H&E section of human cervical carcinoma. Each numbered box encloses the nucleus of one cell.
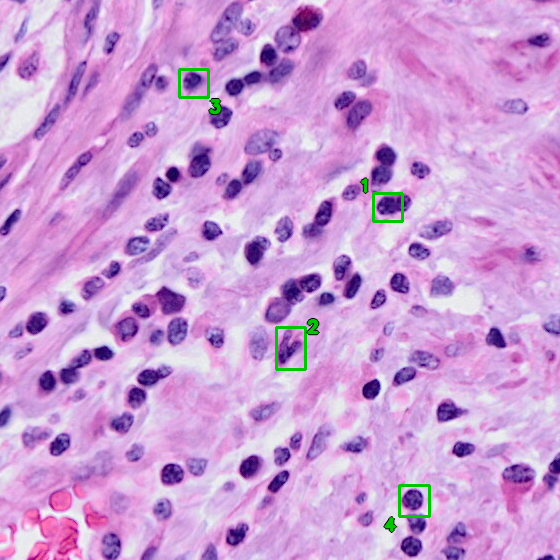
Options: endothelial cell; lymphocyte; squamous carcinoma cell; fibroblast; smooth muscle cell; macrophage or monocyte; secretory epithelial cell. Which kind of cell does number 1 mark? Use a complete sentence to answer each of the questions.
The cell that carries the label 1 is a lymphocyte.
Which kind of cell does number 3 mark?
The cell that is numbered 3 is a lymphocyte.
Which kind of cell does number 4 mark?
As for number 4, that cell is a lymphocyte.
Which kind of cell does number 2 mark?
The cell bearing label 2 corresponds to a macrophage or monocyte.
